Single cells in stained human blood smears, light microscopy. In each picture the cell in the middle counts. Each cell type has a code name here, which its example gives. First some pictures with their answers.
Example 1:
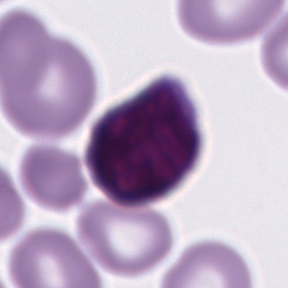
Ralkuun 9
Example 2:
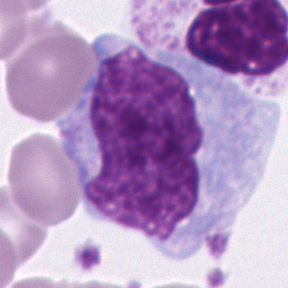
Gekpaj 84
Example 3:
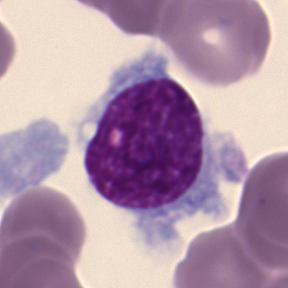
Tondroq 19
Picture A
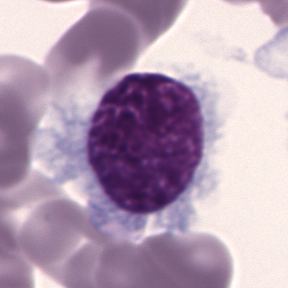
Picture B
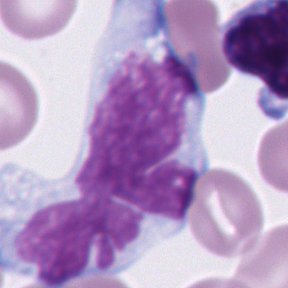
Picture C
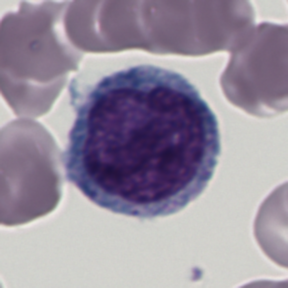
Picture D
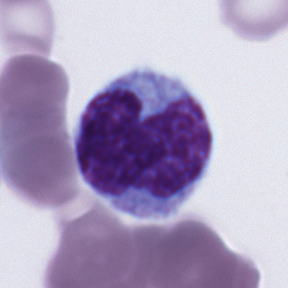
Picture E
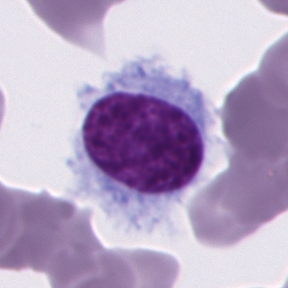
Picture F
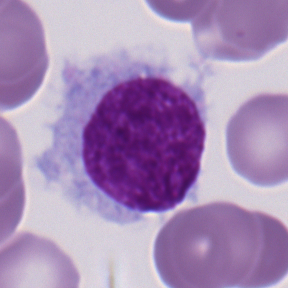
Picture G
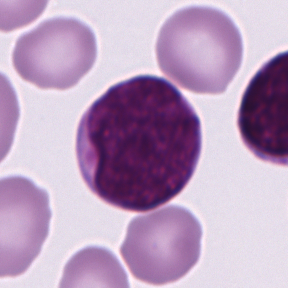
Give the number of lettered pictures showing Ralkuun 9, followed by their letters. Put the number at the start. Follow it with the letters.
1, namely G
